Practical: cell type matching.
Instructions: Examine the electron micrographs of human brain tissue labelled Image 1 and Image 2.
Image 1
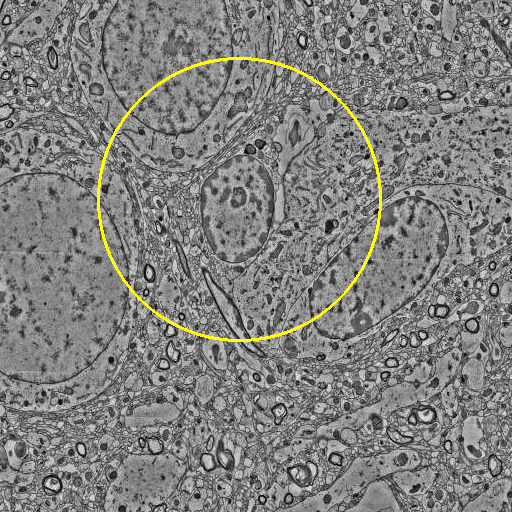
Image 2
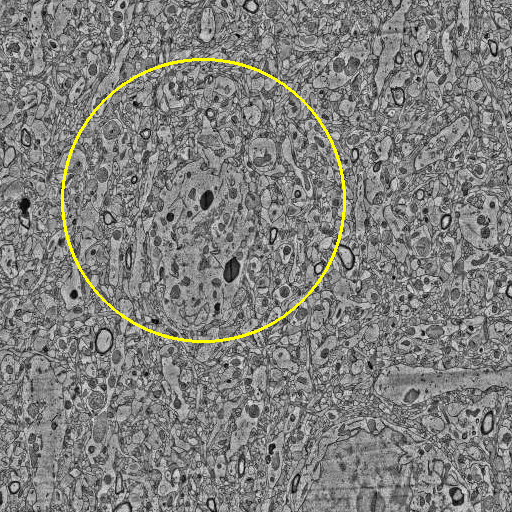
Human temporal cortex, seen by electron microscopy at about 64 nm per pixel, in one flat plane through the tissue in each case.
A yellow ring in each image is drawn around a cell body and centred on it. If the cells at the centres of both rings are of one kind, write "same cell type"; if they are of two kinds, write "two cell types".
two cell types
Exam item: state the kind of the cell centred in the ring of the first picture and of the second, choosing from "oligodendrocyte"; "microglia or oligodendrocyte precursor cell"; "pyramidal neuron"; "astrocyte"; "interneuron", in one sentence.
The first picture shows a microglial cell or oligodendrocyte precursor cell at the ring centre and the second shows an interneuron.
